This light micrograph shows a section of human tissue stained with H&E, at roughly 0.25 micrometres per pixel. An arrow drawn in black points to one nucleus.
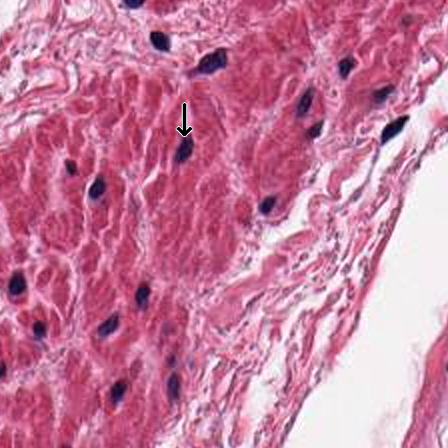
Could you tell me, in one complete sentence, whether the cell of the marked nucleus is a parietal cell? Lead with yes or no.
No, the nucleus singled out in the image is not that of a parietal cell.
